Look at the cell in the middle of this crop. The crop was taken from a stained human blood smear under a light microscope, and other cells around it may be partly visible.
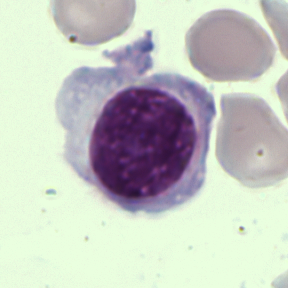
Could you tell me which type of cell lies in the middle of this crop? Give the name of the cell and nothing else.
plasma cell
